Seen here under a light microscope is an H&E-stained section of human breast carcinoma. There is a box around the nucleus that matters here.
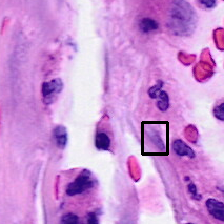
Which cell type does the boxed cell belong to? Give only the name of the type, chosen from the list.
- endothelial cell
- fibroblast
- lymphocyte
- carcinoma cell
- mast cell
endothelial cell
